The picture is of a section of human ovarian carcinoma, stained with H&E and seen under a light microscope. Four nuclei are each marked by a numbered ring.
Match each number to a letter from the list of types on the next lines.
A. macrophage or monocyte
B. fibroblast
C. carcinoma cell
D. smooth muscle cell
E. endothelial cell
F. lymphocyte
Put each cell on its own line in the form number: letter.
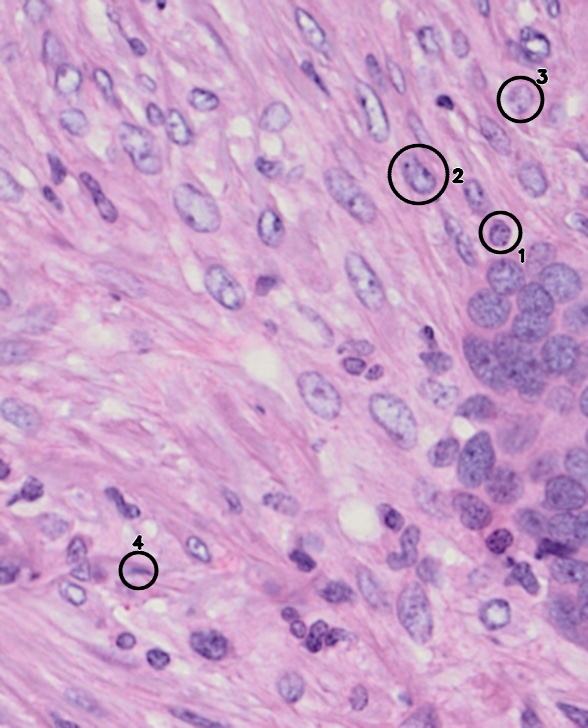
1: A
2: B
3: B
4: B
